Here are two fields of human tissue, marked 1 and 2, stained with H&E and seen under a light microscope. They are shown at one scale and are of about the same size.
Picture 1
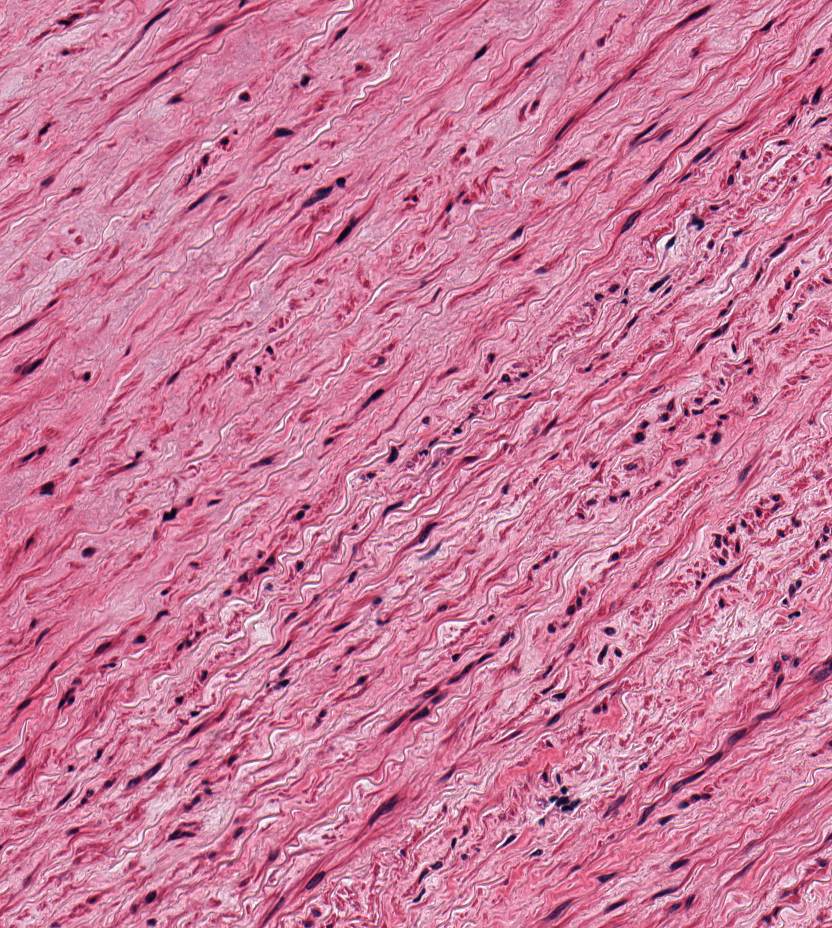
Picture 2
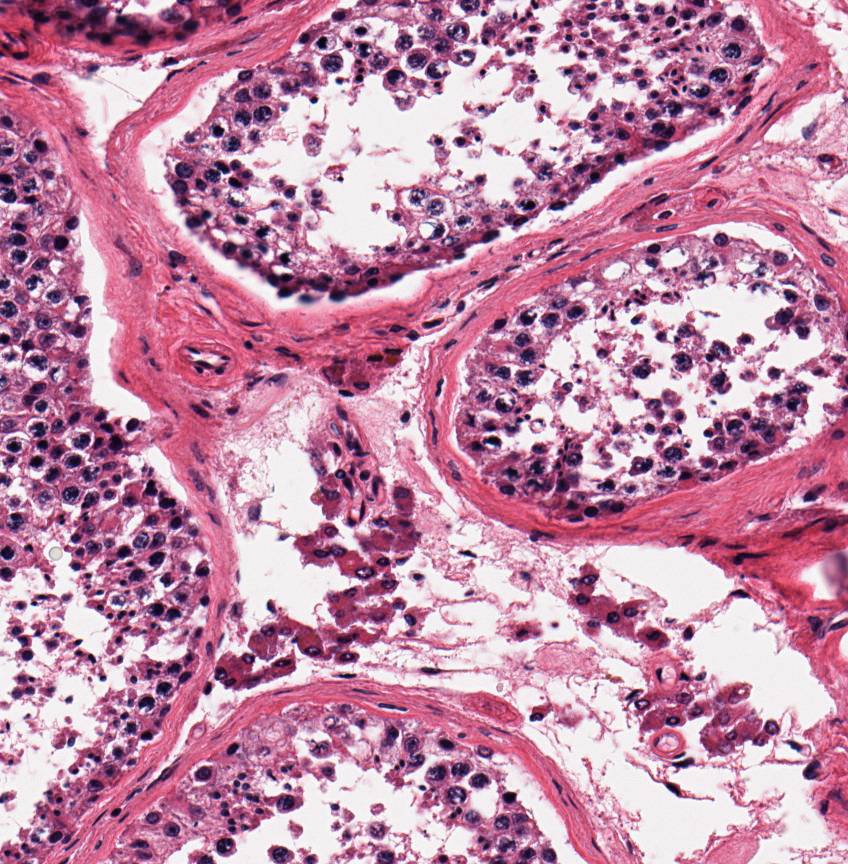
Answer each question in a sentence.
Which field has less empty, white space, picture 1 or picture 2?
Less of picture 1 is empty and white.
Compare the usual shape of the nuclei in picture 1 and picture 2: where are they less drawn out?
Rounder nuclei lie in picture 2.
